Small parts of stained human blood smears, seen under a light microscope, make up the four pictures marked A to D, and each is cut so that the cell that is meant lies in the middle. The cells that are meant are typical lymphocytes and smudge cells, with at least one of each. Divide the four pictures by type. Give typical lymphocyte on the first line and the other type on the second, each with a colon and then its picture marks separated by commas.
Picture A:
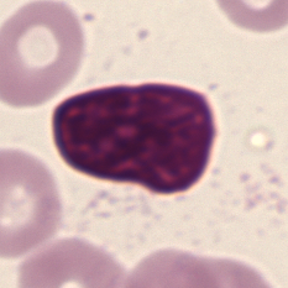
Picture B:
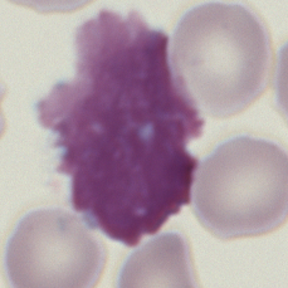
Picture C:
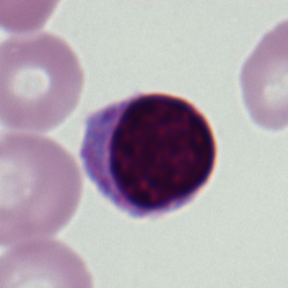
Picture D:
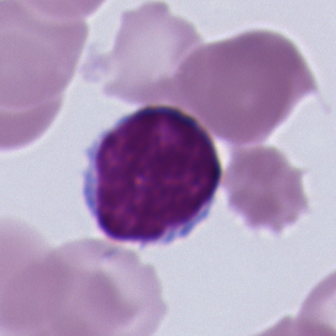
typical lymphocyte: C, D
smudge cell: A, B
